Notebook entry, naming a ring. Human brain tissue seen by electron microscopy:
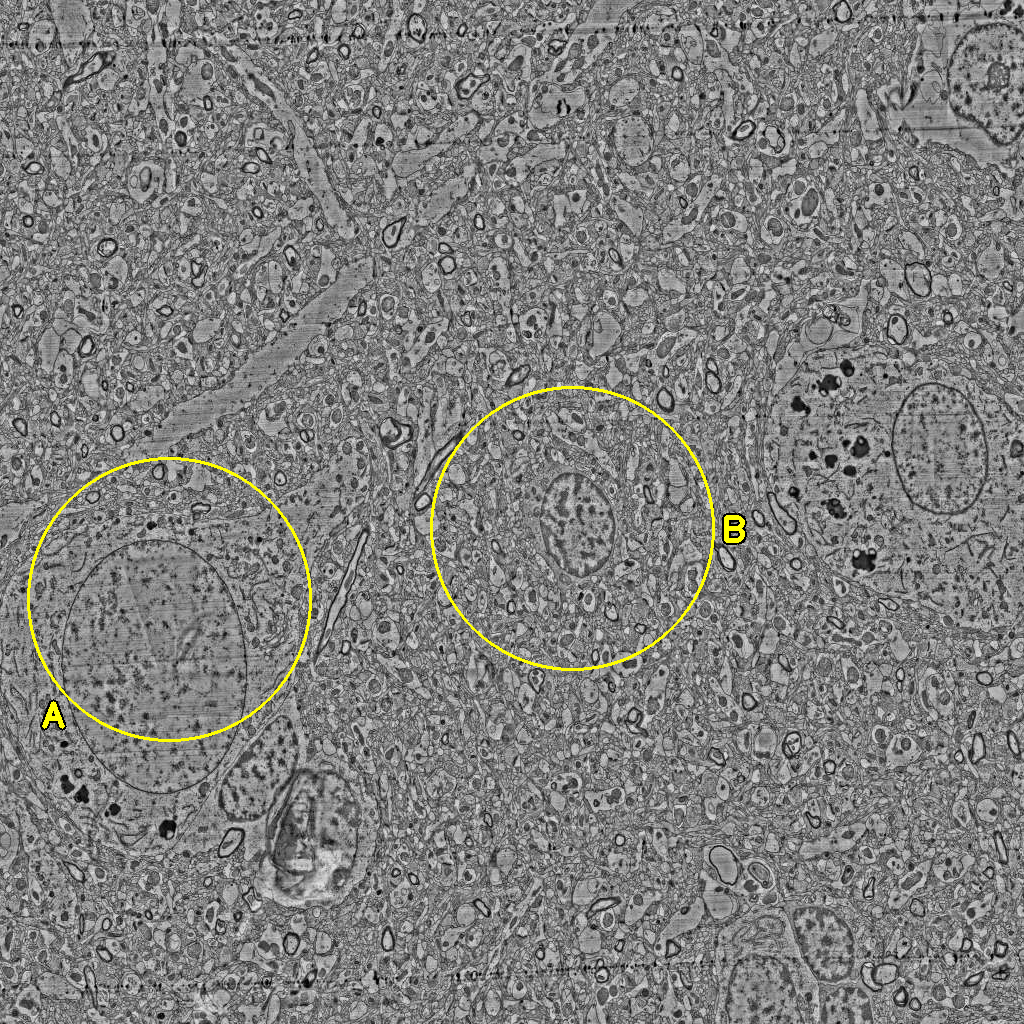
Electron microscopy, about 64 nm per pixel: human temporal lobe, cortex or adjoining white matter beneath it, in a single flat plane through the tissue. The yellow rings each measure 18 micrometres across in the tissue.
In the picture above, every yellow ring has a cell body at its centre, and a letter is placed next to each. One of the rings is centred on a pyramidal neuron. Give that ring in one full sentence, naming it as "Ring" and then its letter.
Ring A is the ring whose centre holds the cell asked for.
